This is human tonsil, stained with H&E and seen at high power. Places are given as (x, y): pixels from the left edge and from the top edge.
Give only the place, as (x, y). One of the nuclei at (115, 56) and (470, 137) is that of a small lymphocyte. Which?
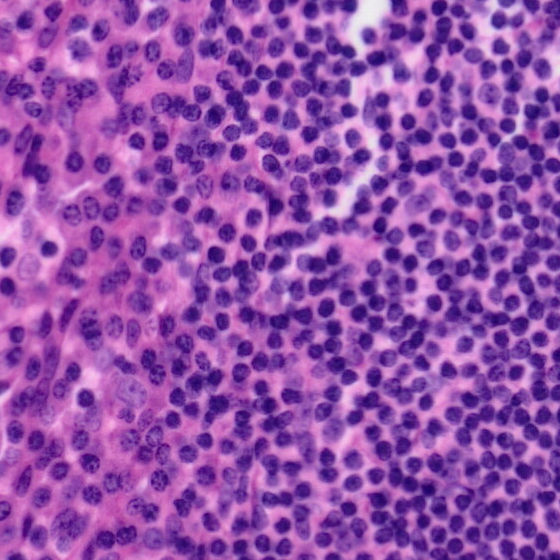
(470, 137)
